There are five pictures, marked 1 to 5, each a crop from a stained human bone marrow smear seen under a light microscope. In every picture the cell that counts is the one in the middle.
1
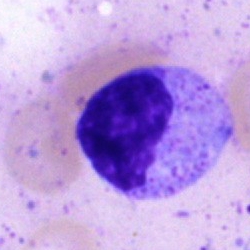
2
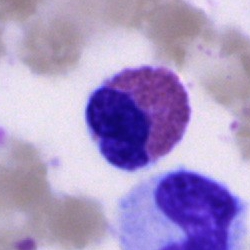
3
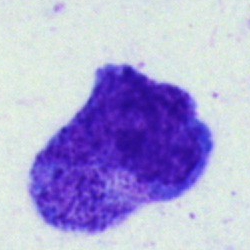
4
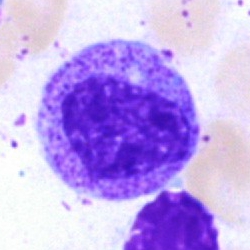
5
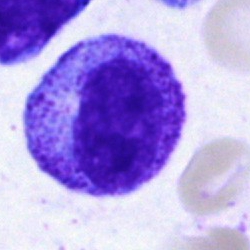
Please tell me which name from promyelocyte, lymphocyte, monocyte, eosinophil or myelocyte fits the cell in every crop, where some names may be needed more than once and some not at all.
1: myelocyte
2: eosinophil
3: promyelocyte
4: myelocyte
5: myelocyte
